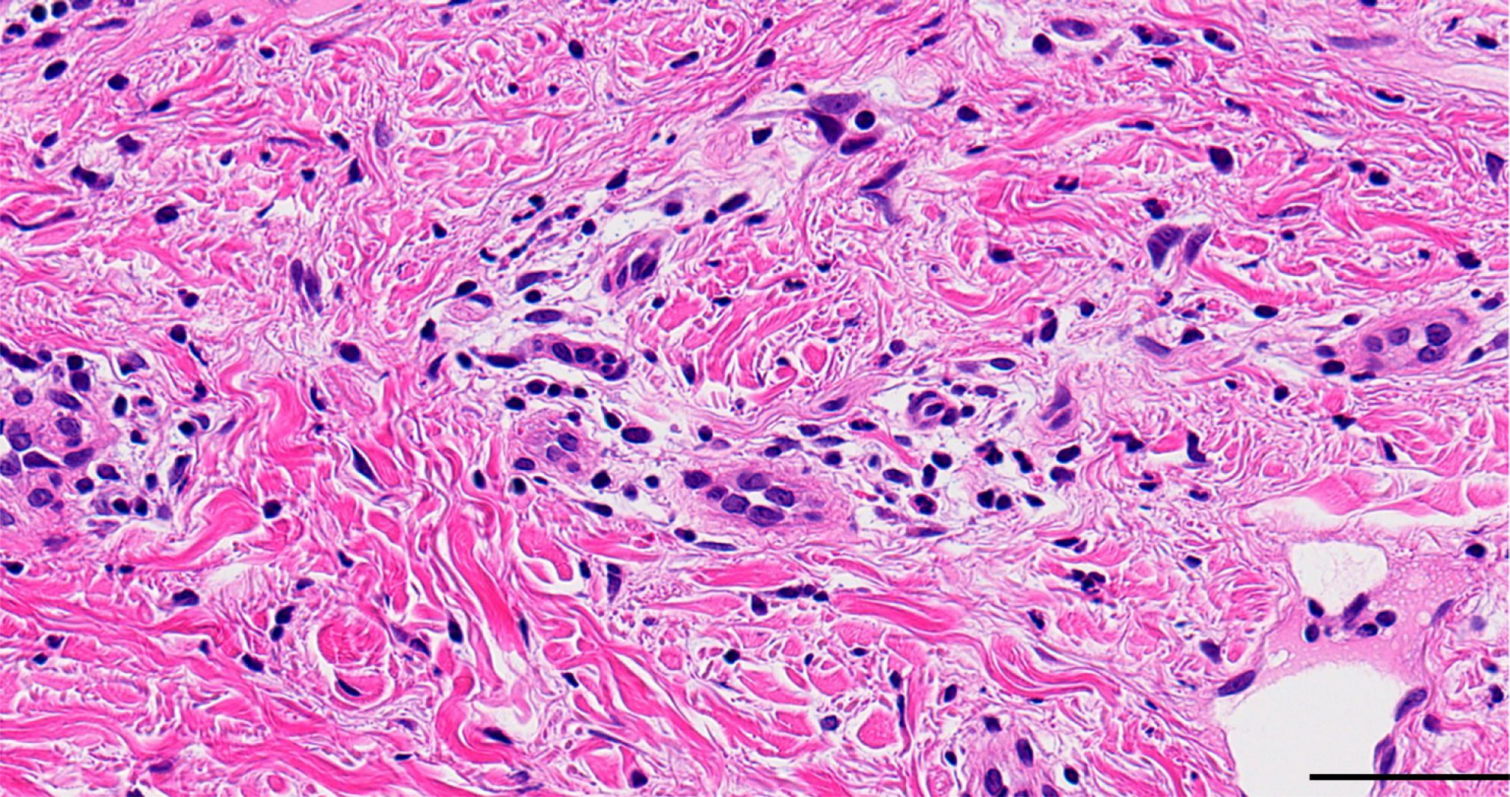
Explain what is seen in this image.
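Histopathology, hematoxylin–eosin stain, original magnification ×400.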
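This is dermis, where wavy bright pink collagen bundles run in many directions around small blood vessels that carry an inflammatory infiltrate. The vessels are lined by plump cells with oval, purple nuclei, and small dark nuclei of lymphocytes and neutrophils cluster around them. More of these small dark inflammatory cells are scattered through the collagen between the vessels, not only next to them. In the lower right corner there is a clear space, with a little pale pink material at its edge.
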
